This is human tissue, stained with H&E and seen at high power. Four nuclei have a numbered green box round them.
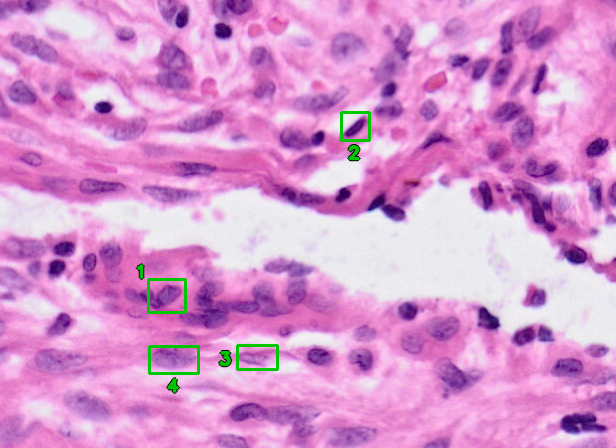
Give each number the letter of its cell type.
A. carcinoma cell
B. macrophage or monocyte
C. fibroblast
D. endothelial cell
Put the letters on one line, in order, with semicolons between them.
D; C; C; C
